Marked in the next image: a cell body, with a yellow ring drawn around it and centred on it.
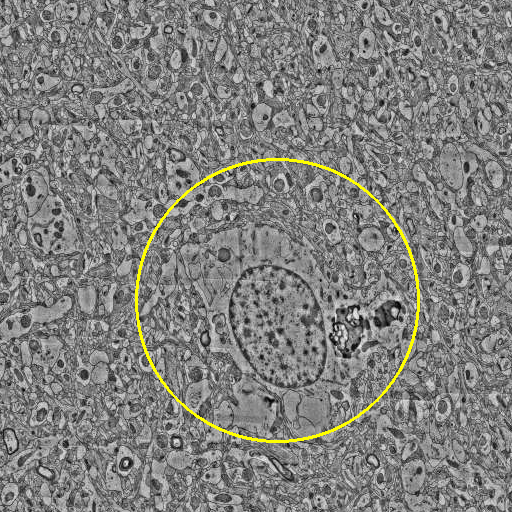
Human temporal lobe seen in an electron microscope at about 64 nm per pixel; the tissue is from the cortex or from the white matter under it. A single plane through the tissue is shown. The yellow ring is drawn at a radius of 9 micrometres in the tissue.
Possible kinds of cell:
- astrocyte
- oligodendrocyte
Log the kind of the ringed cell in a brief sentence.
The ringed cell body is that of an astrocyte.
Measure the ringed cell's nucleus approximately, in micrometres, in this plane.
Roughly 8 by 6 micrometres in this plane, for the nucleus of the ringed cell.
